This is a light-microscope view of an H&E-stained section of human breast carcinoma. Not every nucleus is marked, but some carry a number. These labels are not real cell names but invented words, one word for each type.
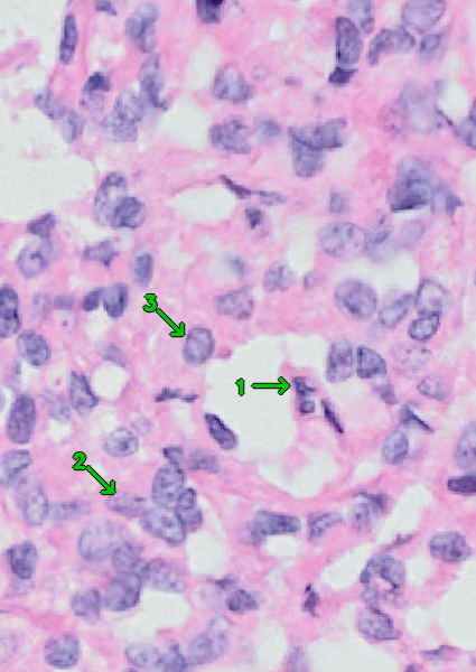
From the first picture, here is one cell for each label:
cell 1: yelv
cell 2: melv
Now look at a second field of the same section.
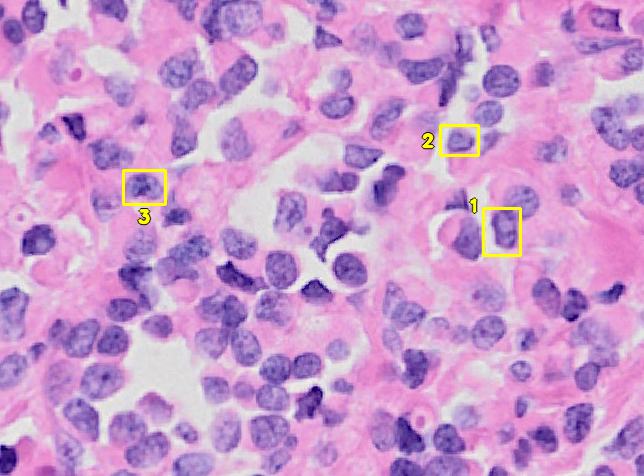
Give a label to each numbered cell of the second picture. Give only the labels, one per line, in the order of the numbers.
melv
melv
yelv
